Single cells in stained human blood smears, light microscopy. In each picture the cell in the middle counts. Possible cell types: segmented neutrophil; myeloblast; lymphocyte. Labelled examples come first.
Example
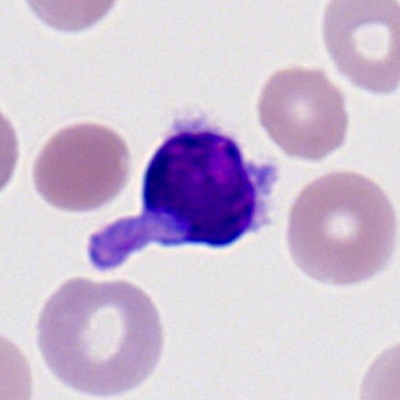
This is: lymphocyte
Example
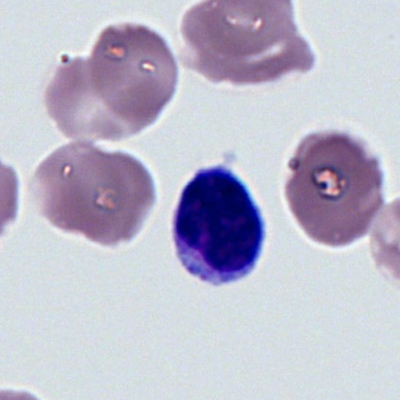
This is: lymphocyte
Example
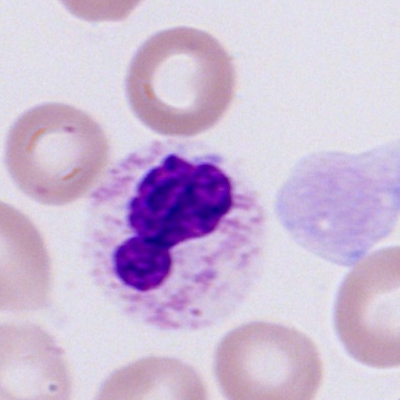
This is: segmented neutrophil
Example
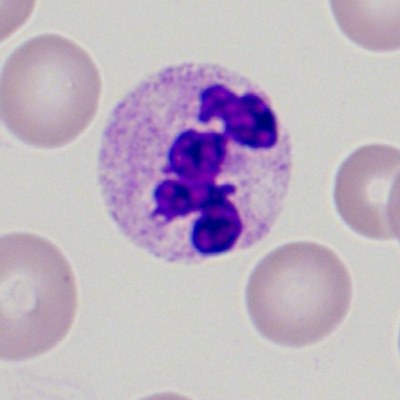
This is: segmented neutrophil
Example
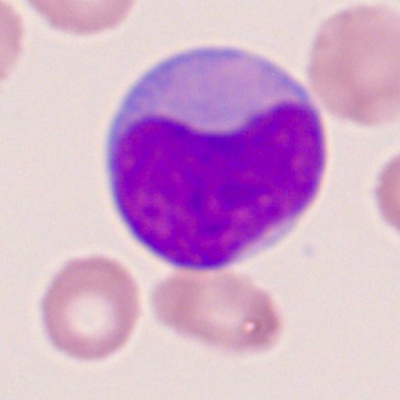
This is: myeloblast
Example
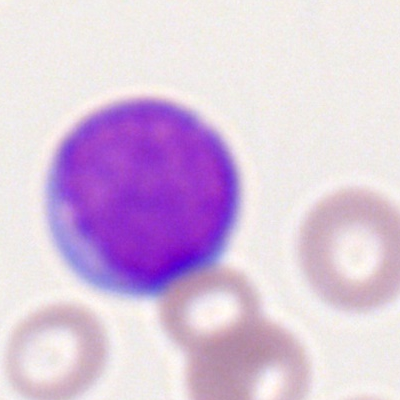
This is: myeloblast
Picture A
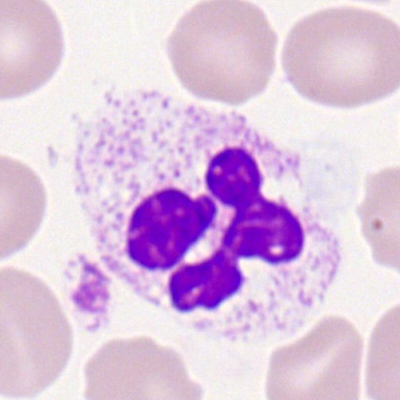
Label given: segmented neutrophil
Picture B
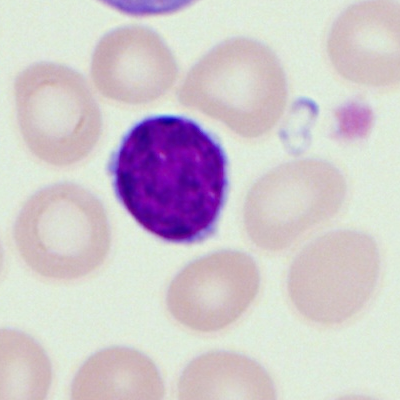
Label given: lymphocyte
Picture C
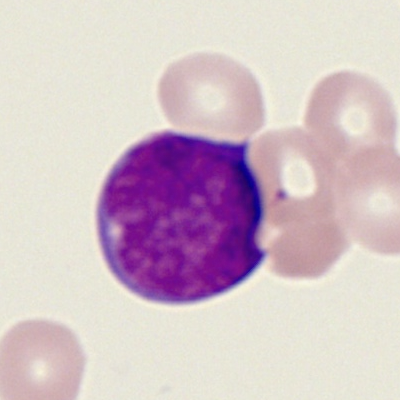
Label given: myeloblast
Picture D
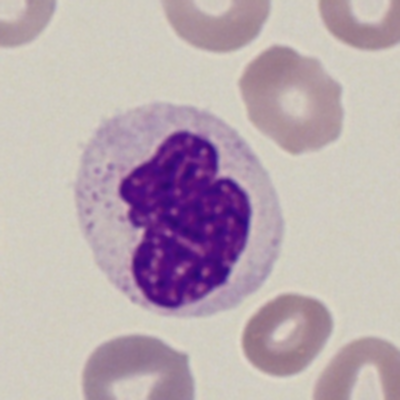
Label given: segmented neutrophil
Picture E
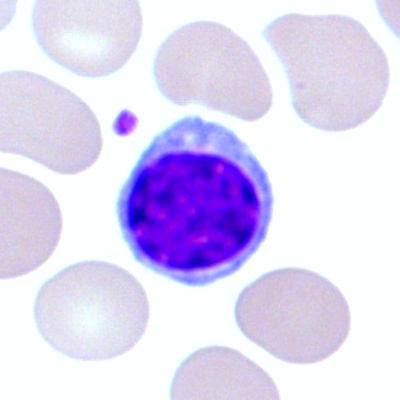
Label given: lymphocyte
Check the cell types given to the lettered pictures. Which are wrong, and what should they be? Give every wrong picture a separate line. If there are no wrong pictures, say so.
All labels are correct.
